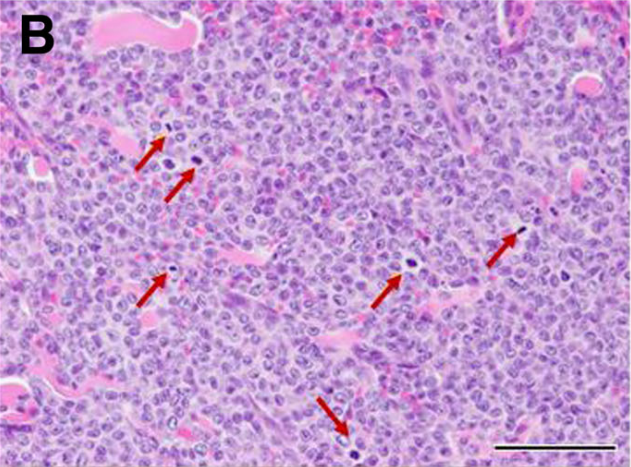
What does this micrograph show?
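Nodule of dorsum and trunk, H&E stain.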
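Dermis diffusely infiltrated by a dense, monotonous sheet of lymphoid cells with large round to oval nuclei and scant pale cytoplasm. Scattered mitotic figures with dark condensed chromatin lie among them, and thin pink collagen strands and small vessels run between the cells.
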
